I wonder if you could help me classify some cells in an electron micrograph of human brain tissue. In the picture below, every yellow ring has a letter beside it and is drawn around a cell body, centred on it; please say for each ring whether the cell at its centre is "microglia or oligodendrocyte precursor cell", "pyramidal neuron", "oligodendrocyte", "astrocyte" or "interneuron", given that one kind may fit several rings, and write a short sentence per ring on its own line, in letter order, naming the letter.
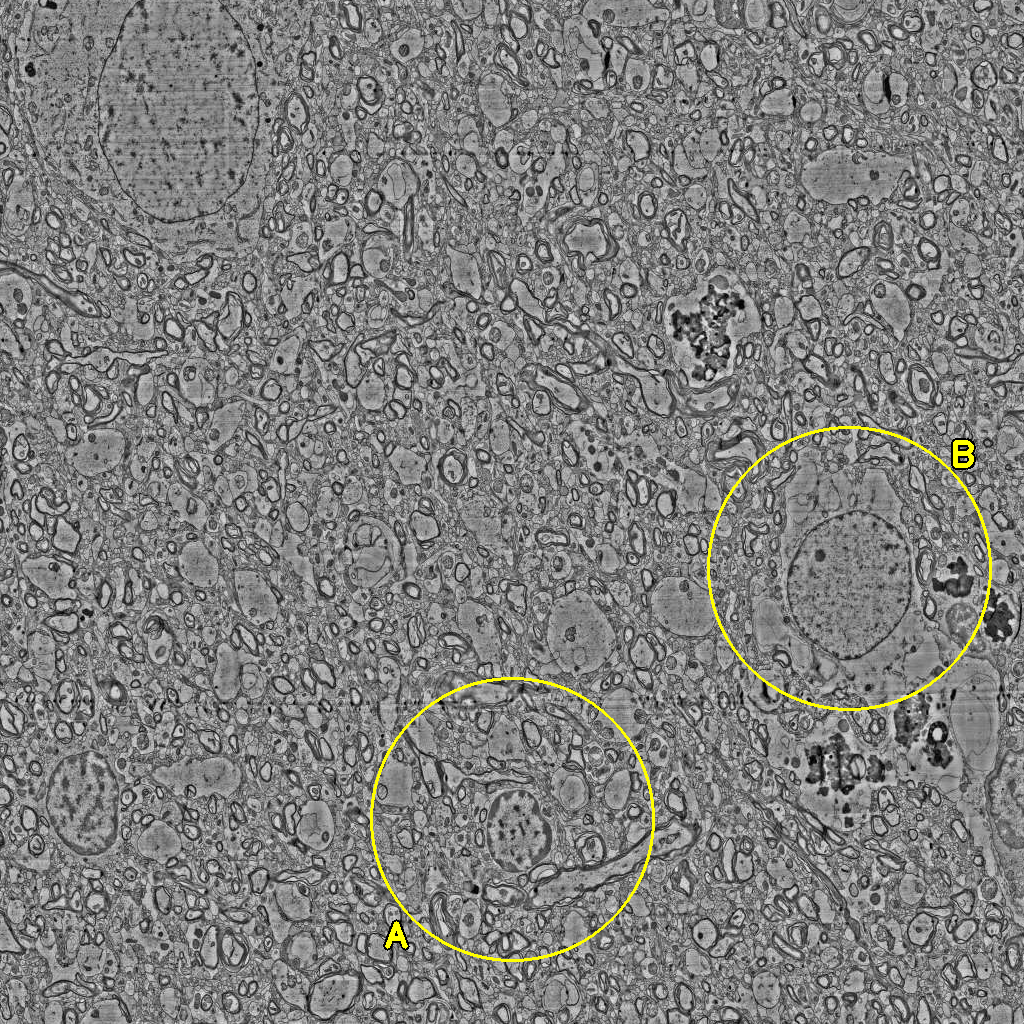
Centred in ring A is a microglial cell or oligodendrocyte precursor cell.
Centred in ring B is an astrocyte.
